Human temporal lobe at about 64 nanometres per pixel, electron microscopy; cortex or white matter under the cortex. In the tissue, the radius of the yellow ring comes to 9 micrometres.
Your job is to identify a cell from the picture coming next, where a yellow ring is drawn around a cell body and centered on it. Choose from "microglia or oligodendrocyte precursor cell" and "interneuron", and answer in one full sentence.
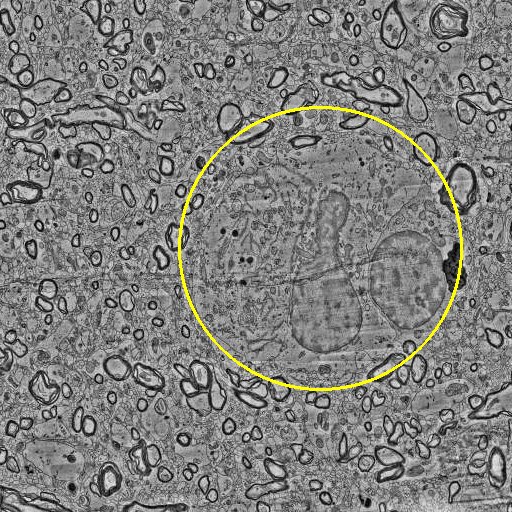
Centered in the yellow ring of the picture is the body of a microglial cell or oligodendrocyte precursor cell.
